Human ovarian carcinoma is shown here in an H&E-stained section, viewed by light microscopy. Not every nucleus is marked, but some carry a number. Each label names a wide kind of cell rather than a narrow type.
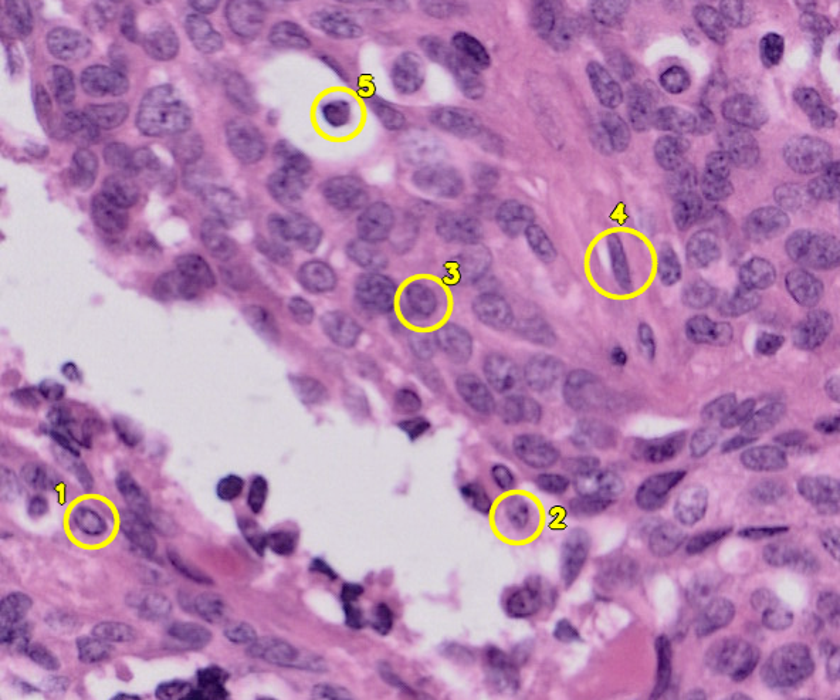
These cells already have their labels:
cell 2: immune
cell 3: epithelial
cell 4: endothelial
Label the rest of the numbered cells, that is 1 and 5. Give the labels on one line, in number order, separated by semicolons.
immune; epithelial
